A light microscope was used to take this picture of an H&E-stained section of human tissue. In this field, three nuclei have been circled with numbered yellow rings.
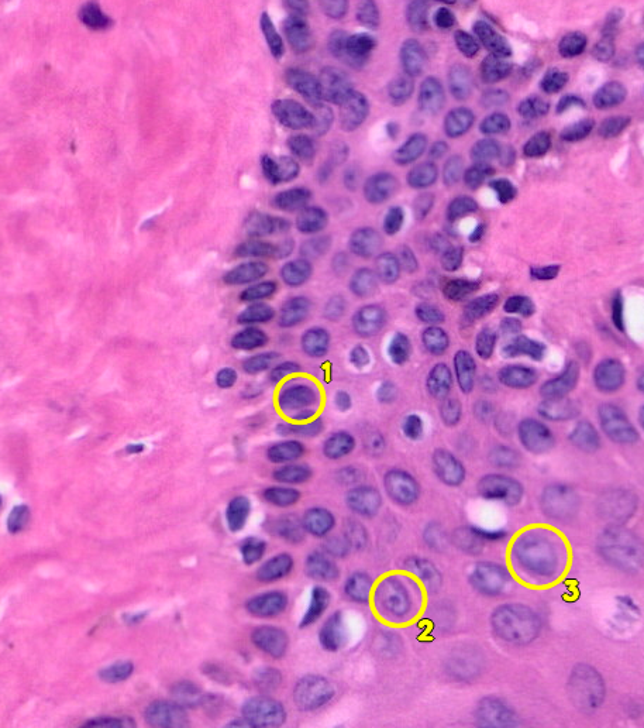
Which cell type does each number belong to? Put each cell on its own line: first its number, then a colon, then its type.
1: basal keratinocyte
2: suprabasal keratinocyte
3: suprabasal keratinocyte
